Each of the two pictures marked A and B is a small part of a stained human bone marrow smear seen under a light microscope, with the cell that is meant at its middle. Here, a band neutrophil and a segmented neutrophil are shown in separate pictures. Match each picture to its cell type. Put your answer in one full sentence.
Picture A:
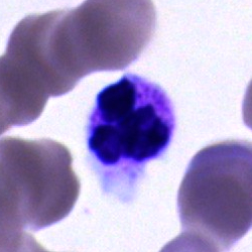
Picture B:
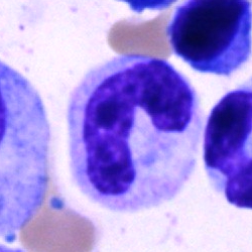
Picture A is of a segmented neutrophil, and picture B is of a band neutrophil.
